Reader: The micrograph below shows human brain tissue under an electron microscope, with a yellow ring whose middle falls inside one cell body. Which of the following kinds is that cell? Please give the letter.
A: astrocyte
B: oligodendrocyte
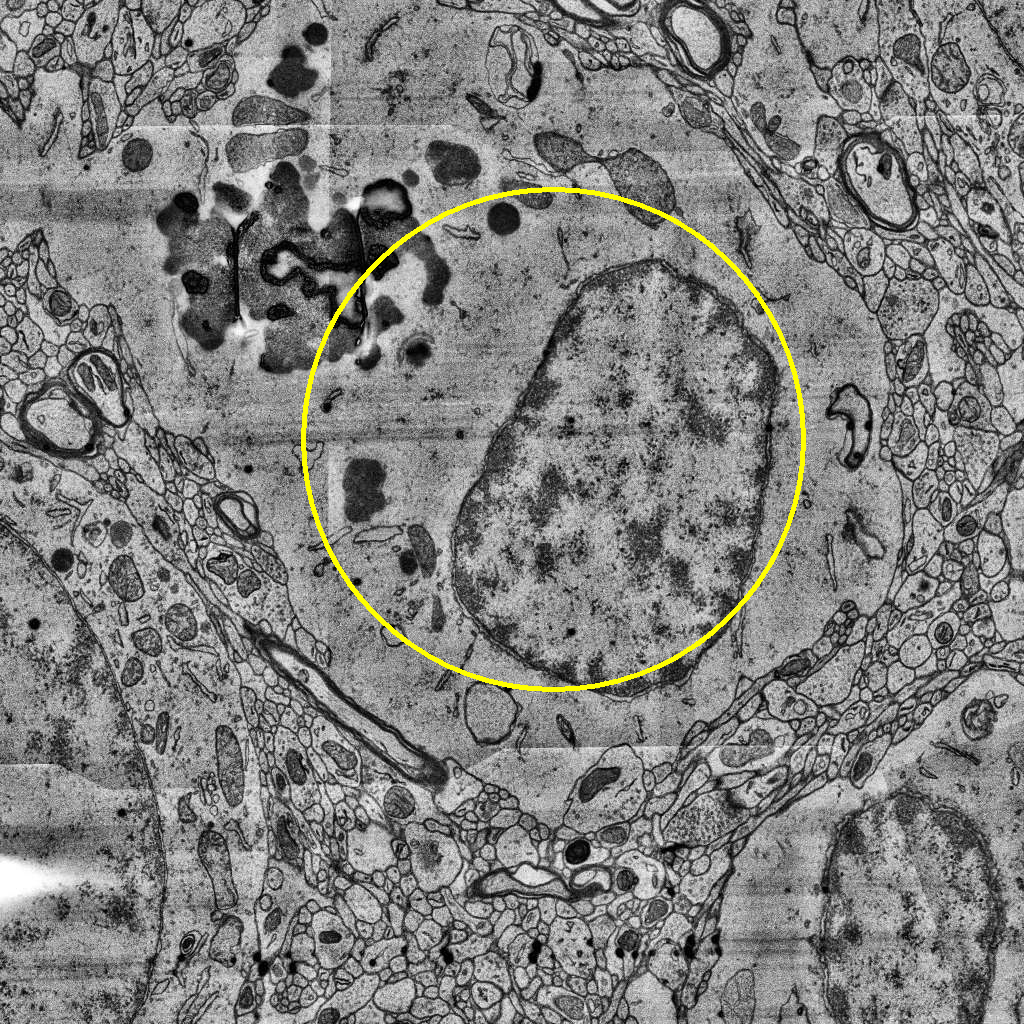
A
